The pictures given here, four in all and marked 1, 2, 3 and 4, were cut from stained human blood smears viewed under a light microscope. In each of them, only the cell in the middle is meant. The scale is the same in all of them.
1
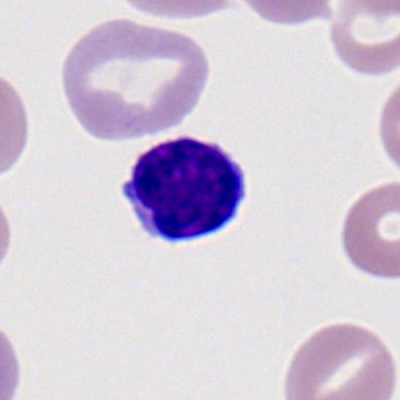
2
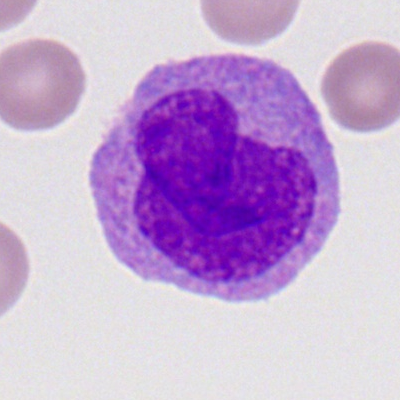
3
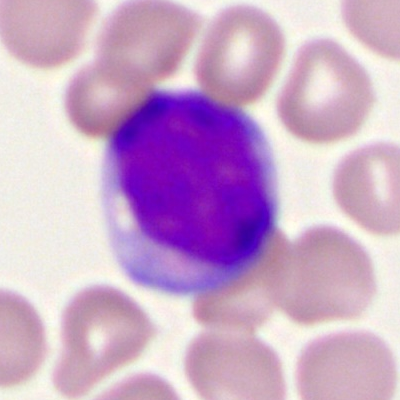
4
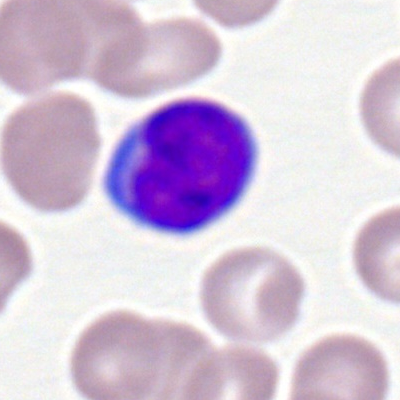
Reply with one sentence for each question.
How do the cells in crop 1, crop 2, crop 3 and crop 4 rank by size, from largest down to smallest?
Going down, they run 2, 3, 4, 1.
